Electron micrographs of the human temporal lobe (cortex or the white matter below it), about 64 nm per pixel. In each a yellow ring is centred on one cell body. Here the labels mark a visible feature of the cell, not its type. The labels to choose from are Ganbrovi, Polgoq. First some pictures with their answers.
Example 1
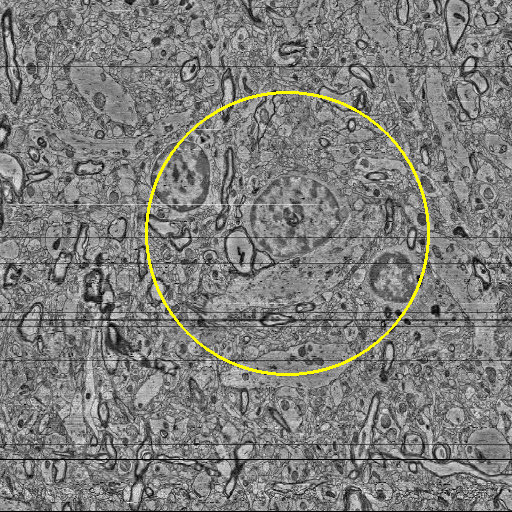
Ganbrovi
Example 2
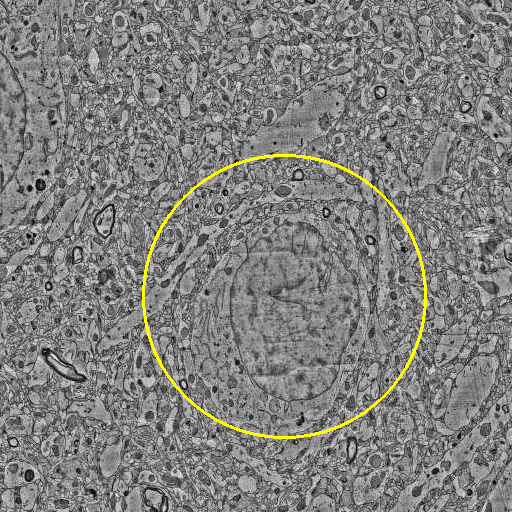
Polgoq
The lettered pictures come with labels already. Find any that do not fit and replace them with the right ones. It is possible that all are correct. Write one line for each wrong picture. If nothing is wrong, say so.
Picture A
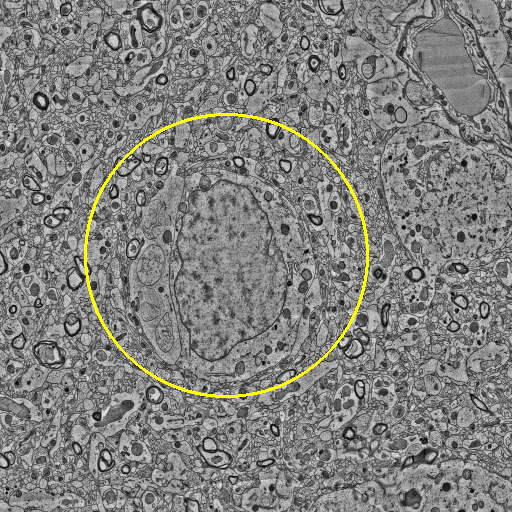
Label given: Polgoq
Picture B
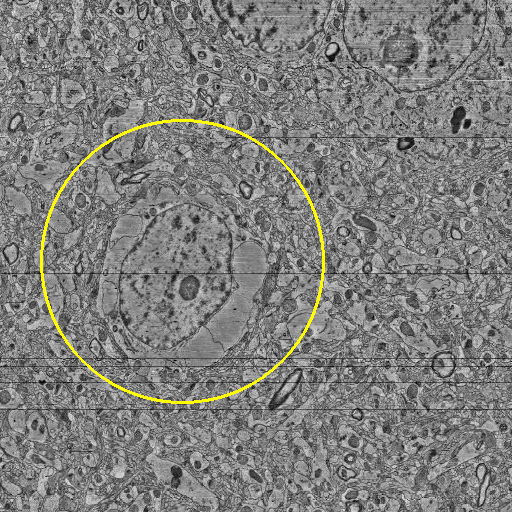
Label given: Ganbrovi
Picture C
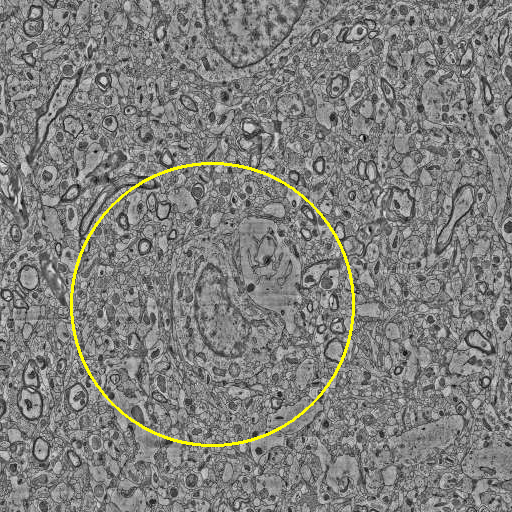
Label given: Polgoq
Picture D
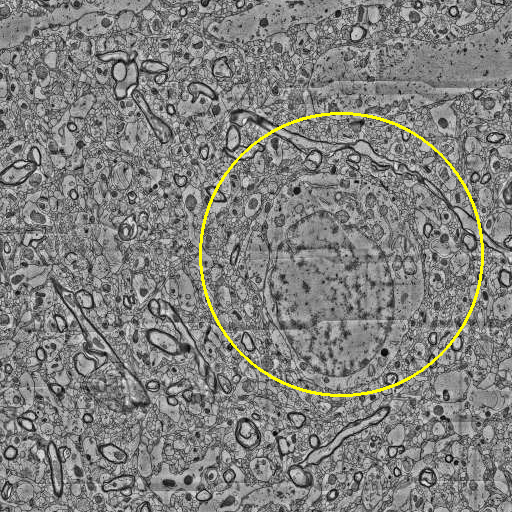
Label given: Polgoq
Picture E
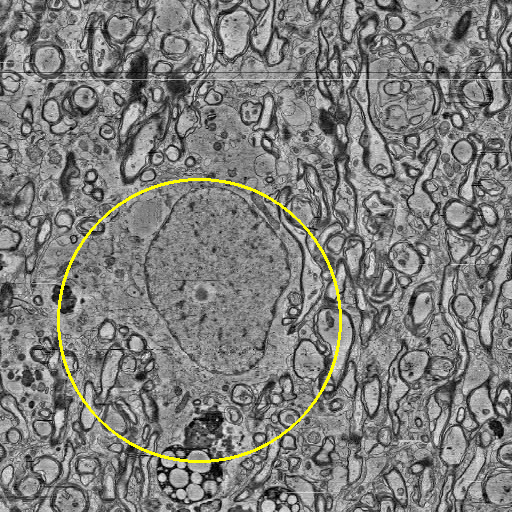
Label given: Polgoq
E is labelled Polgoq; correct label: Ganbrovi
